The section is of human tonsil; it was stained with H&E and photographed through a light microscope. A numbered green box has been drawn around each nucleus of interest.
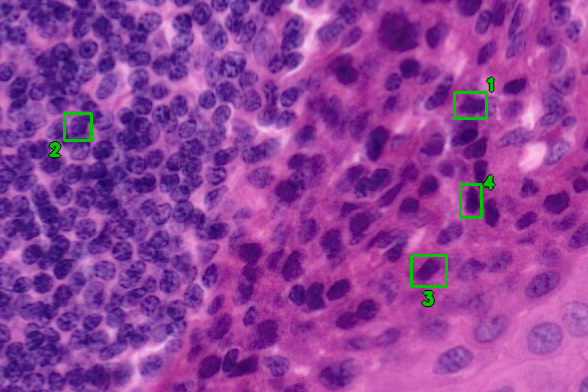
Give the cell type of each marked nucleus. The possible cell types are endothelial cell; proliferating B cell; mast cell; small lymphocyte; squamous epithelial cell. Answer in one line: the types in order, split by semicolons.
squamous epithelial cell; small lymphocyte; squamous epithelial cell; squamous epithelial cell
